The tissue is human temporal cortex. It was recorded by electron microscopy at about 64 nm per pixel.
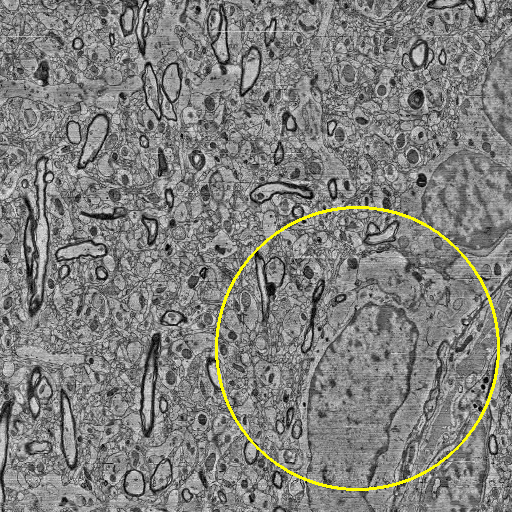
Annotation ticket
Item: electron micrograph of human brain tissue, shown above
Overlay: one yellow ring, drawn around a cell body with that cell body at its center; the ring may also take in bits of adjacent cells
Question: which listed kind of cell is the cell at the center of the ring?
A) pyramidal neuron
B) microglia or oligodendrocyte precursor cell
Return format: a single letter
B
